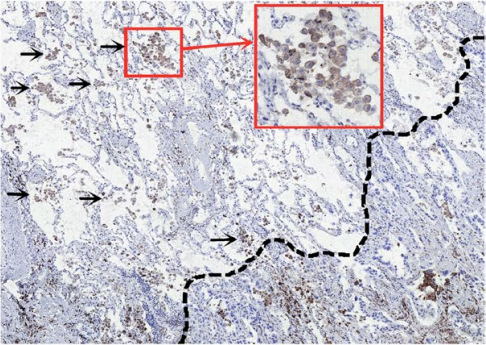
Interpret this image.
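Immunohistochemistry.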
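This is lung beside a tumor, and the air spaces hold loose, rounded macrophages. Their cytoplasm is stained brown, and each has a small blue nucleus, as the enlarged box shows well. They lie singly or in loose groups in the alveolar spaces, not joined as cohesive clusters. Below and to the right lies denser tissue that also holds many brown-stained cells.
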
